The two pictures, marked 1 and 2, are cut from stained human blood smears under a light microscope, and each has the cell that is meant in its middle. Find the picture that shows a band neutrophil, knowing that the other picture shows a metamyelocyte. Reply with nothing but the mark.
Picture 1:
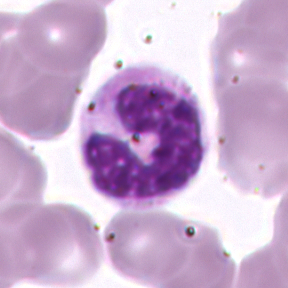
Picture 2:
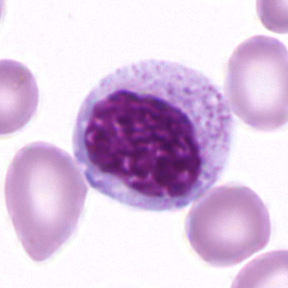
1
